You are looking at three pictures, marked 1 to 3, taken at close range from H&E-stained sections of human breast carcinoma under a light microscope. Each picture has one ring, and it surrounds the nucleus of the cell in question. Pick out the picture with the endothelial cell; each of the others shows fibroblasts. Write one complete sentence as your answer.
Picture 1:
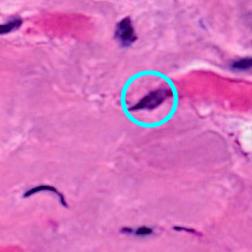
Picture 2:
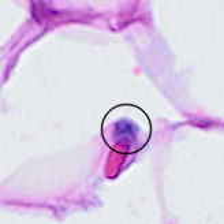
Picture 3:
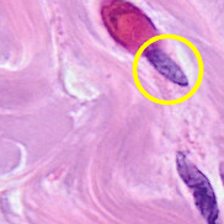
Picture 2 shows the endothelial cell.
